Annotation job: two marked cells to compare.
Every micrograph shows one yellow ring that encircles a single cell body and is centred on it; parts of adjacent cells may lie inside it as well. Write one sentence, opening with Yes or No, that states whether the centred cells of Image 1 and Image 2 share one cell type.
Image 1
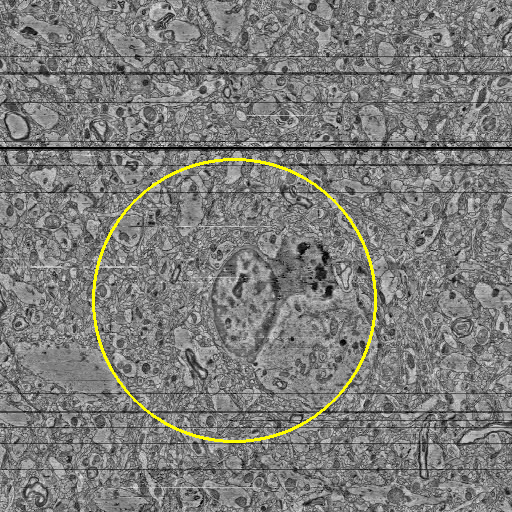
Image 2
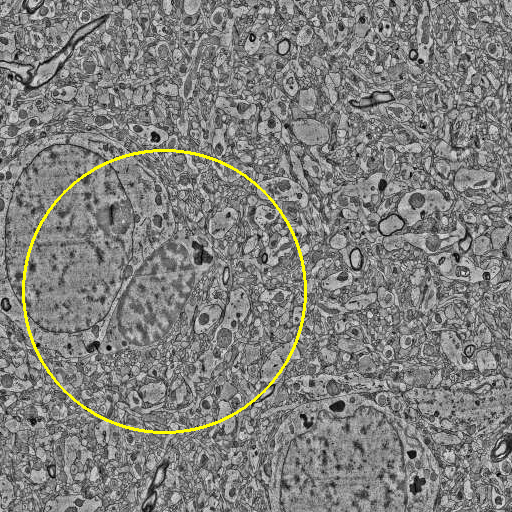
Yes, the cell centred in Image 1 shares its type with the cell centred in Image 2.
